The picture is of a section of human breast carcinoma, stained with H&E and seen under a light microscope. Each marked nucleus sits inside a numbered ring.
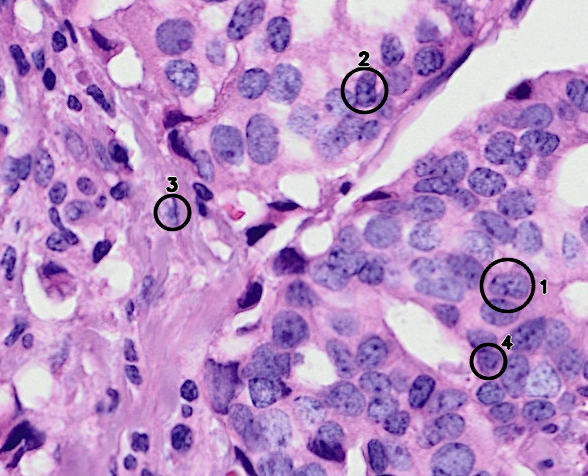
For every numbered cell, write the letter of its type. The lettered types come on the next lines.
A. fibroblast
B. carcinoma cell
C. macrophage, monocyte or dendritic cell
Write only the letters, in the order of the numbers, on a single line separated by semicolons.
B; B; A; B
